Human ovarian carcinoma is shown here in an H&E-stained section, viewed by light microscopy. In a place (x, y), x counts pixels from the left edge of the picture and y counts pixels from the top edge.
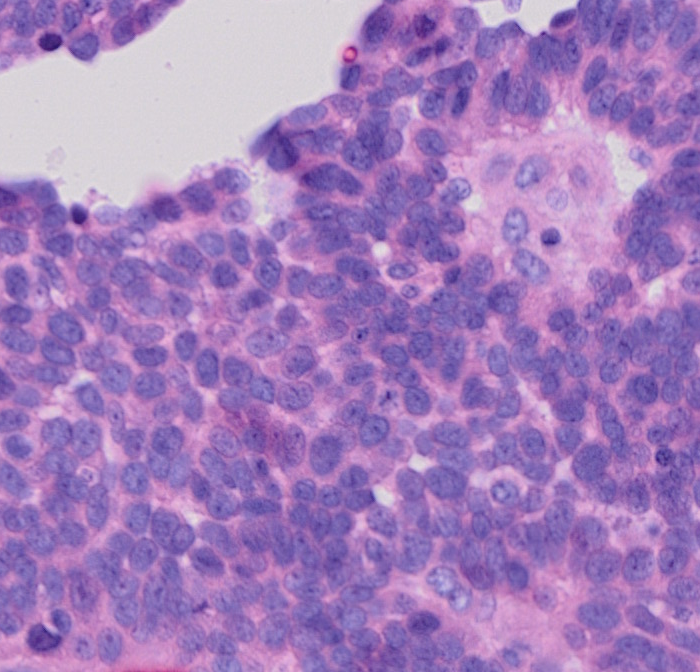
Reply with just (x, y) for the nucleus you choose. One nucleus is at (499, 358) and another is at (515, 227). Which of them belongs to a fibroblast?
(515, 227)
